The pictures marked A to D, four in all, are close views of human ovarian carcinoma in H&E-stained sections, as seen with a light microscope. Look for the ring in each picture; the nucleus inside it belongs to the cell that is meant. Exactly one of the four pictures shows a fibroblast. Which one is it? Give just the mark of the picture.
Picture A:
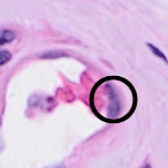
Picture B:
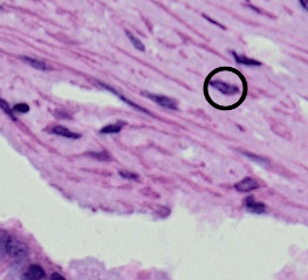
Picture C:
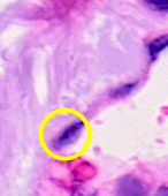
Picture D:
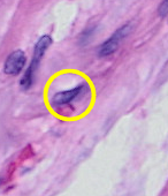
B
